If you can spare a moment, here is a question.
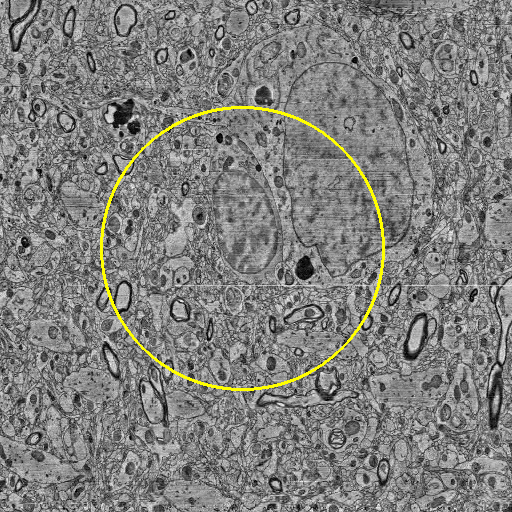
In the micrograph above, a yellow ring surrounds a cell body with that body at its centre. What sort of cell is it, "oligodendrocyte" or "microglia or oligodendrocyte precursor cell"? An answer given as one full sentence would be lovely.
Centred inside the yellow ring, the cell body shown belongs to an oligodendrocyte in this micrograph.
